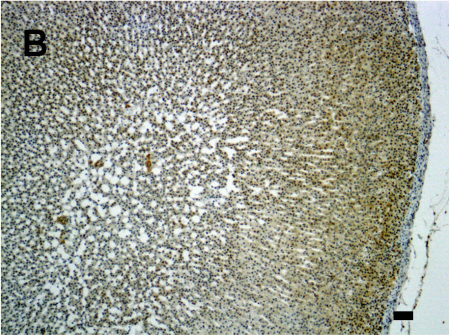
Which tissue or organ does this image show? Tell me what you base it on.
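A thin fibrous capsule runs along the right edge. Beneath the capsule lies a dense band of small cells. Further inward, cells form radially oriented cords separated by narrow spaces. So: adrenal cortex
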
